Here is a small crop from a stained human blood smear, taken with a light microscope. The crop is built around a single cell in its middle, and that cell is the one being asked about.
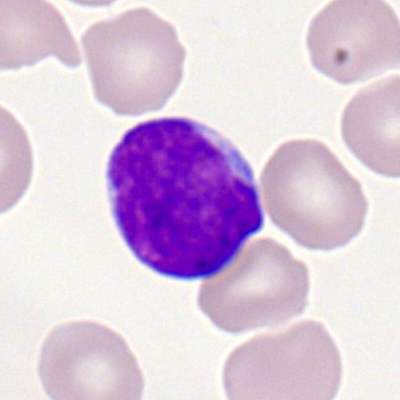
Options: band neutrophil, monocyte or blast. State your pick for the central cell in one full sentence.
The cell shown in the center of this light-microscope crop is a blast.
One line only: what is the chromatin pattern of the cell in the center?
One feature to record is coarsely clumped chromatin.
